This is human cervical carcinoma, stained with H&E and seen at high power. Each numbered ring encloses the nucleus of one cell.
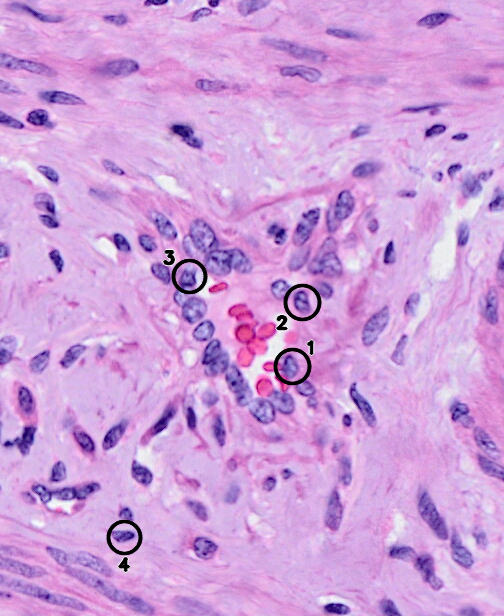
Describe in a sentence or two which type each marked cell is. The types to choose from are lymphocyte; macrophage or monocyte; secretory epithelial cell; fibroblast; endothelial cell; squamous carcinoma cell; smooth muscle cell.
Cell 1 is an endothelial cell, cell 2 is an endothelial cell, cell 3 is an endothelial cell and cell 4 is a fibroblast.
